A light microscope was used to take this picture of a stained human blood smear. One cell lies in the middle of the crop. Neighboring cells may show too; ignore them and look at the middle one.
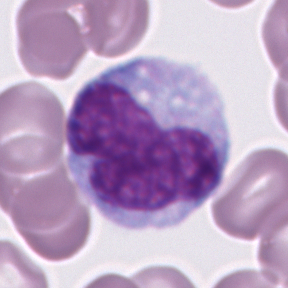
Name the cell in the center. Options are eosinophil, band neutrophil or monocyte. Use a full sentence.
Where the crop is centred, there is a monocyte.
